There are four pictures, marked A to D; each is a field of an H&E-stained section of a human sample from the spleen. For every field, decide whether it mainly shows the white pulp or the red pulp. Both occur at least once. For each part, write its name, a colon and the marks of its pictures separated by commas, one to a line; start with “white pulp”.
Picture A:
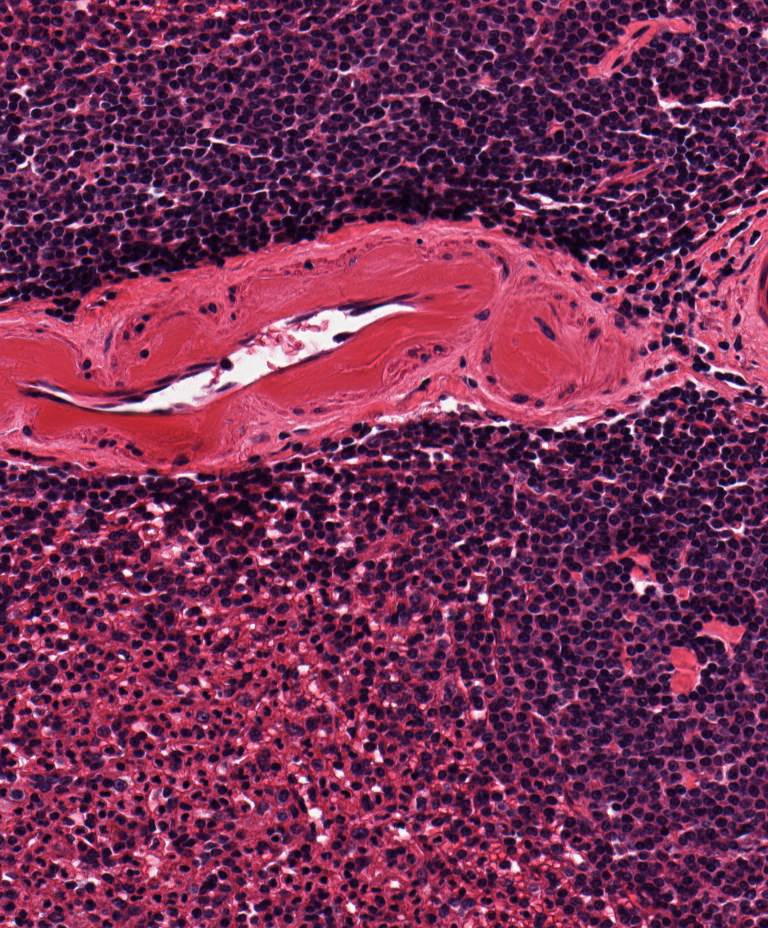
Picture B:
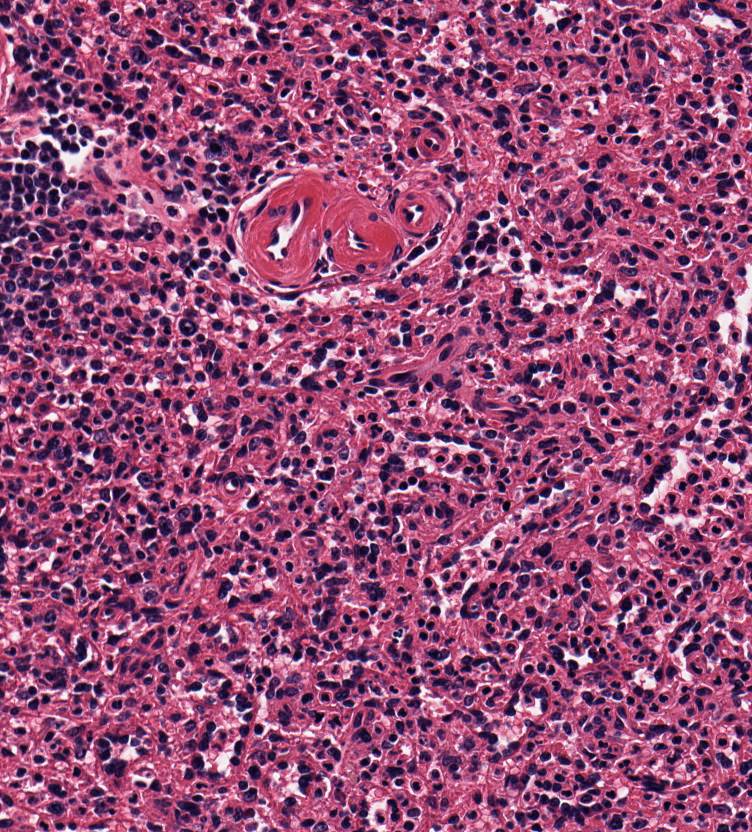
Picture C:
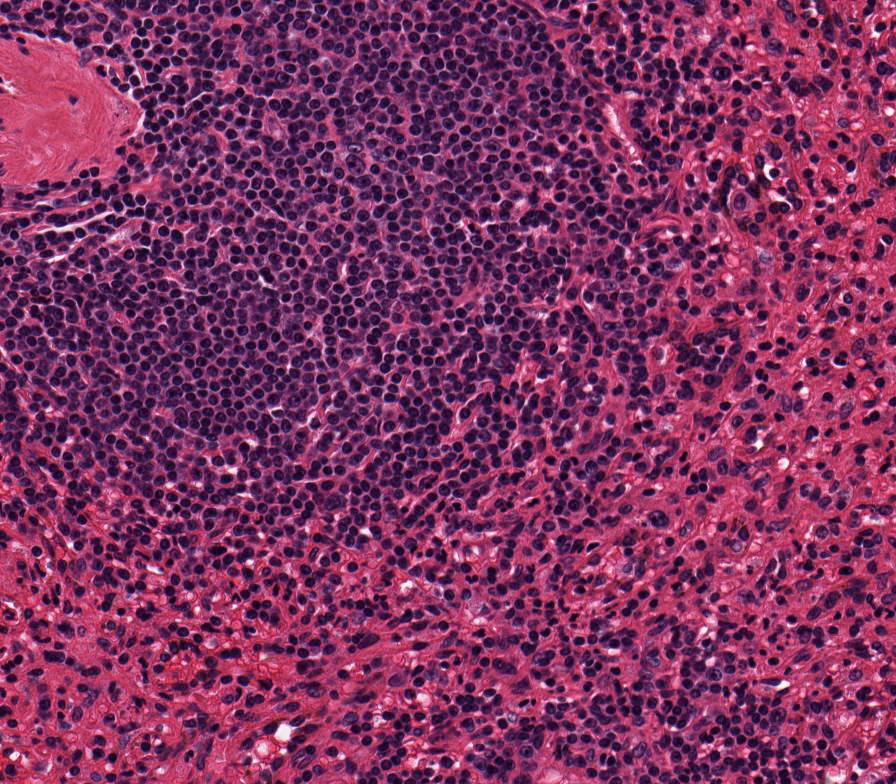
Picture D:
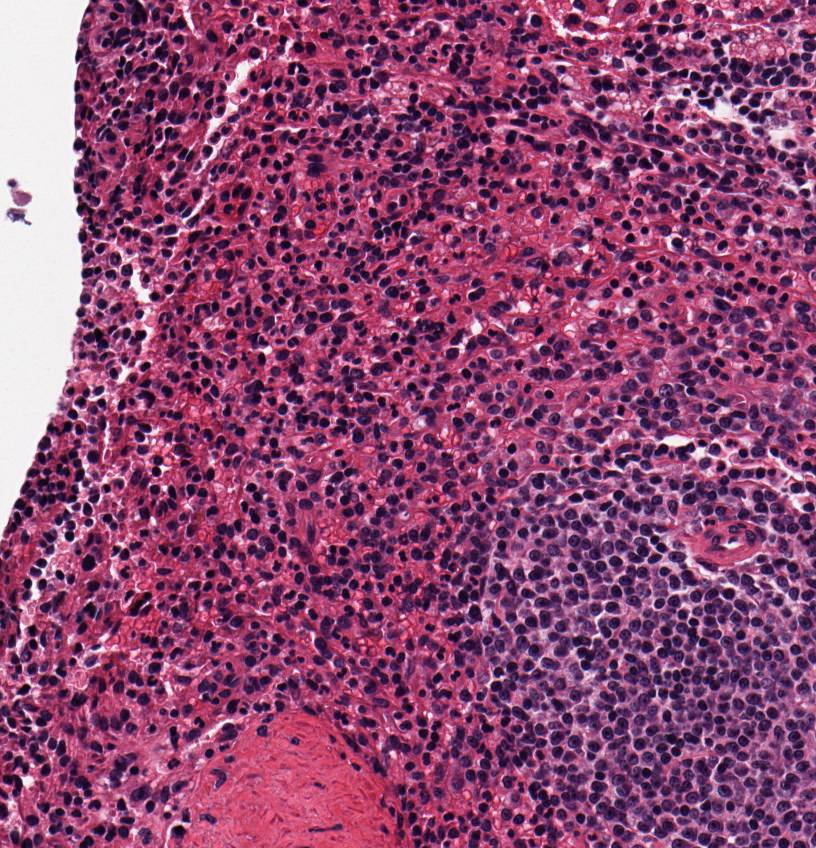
white pulp: A, C
red pulp: B, D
